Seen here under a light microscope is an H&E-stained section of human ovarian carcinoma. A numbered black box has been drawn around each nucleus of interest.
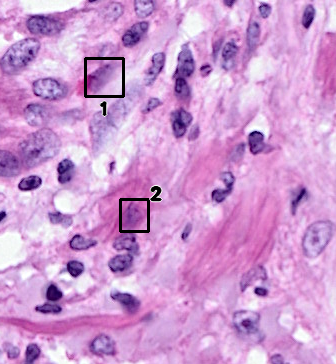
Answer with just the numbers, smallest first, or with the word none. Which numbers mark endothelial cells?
1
